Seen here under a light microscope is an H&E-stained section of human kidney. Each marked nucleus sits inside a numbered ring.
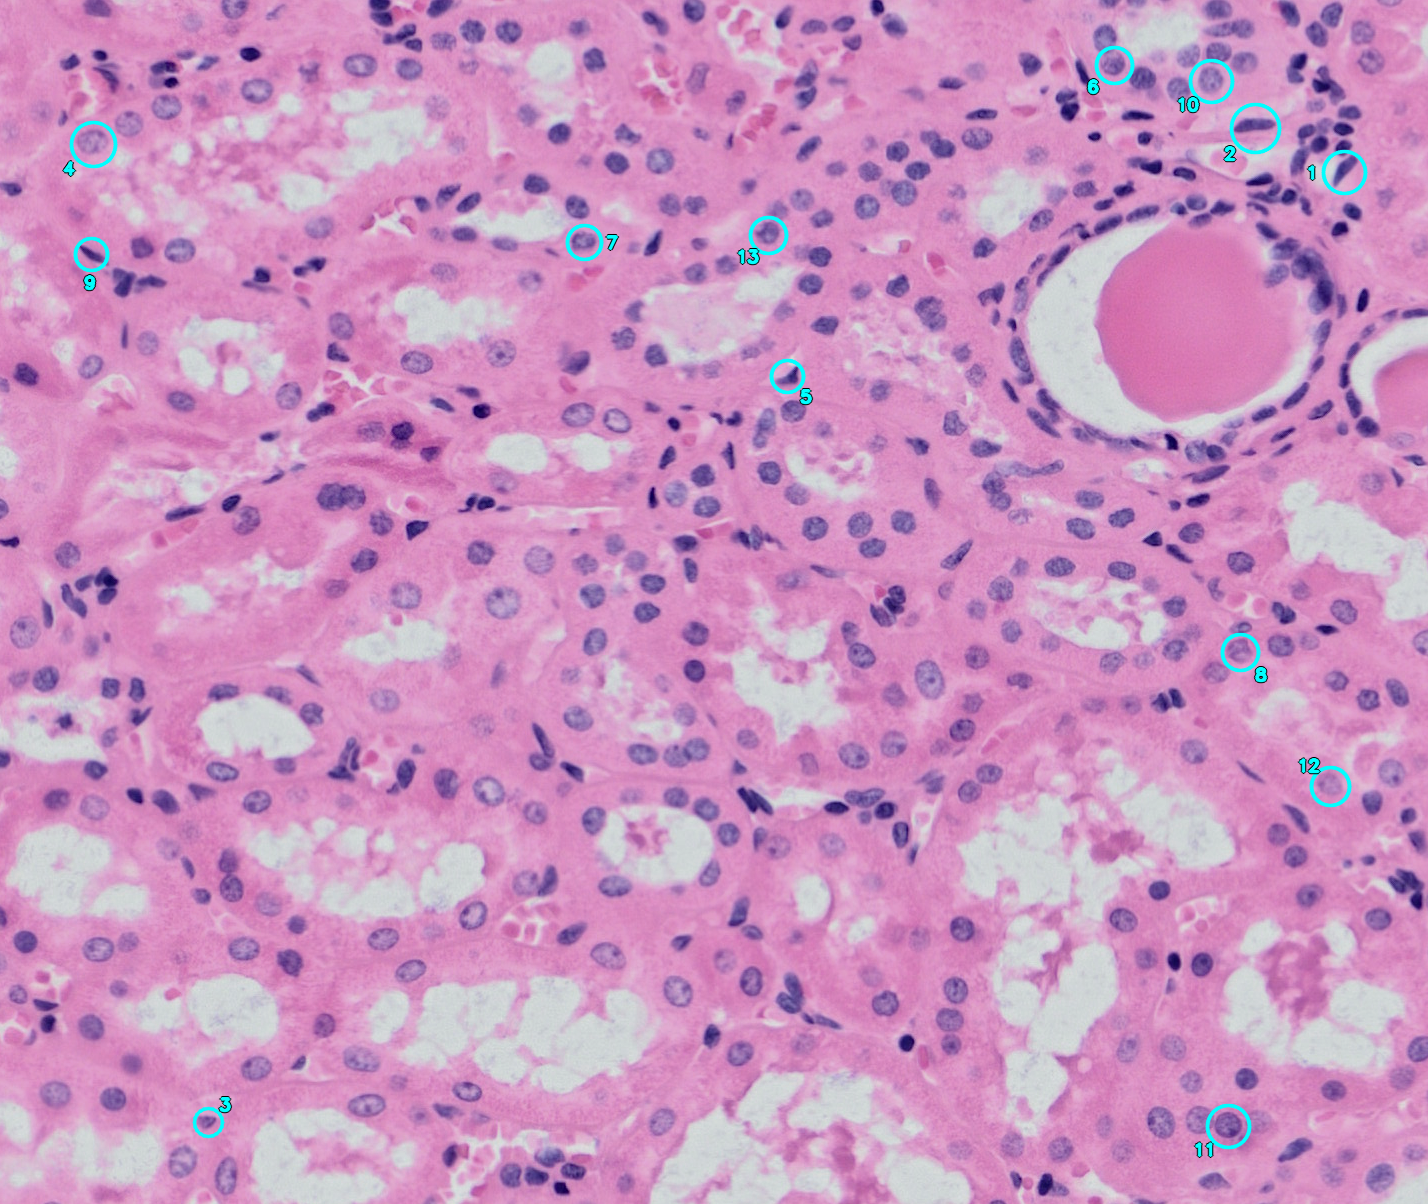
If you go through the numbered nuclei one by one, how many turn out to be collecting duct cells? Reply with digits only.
3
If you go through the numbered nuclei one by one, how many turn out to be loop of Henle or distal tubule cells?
1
